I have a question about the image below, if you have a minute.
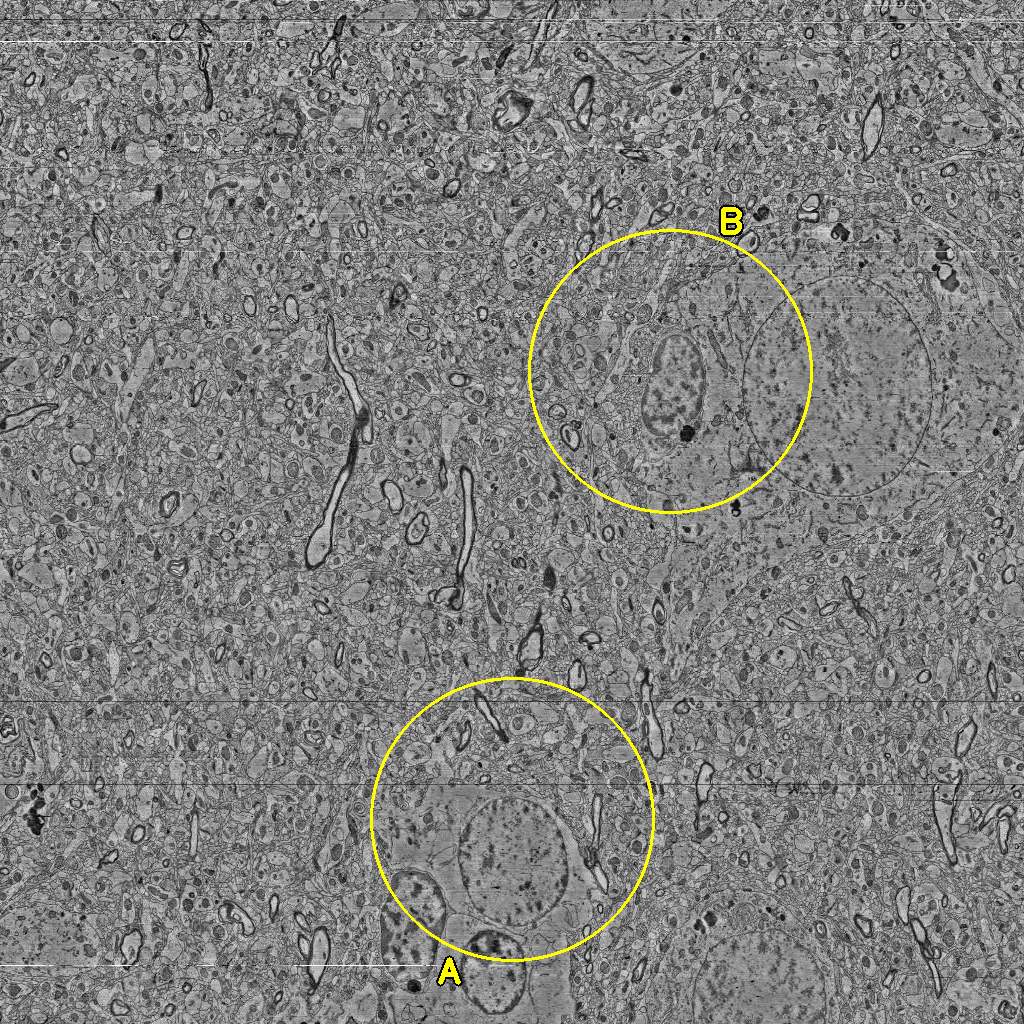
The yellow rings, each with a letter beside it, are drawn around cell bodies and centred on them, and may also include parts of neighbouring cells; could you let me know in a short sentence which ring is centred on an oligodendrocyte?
Ring B is centred on it.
